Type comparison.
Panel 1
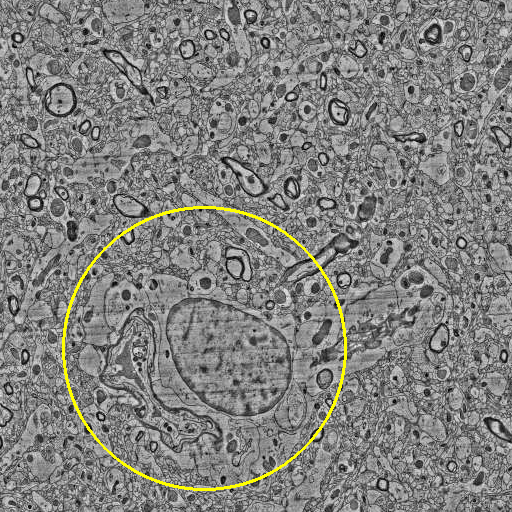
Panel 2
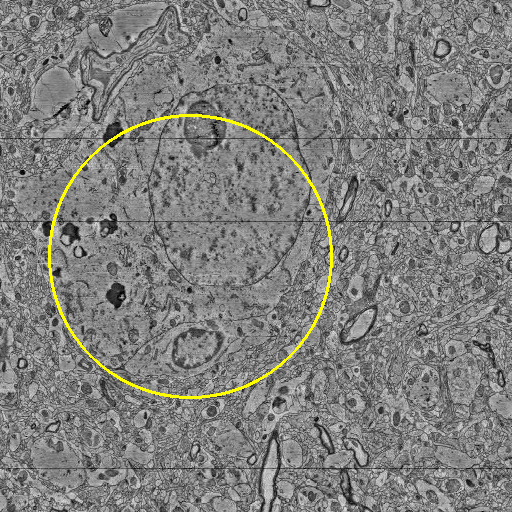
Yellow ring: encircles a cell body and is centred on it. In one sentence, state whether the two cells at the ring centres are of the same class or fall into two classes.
In these panels, the two cells at the ring centres fall into two classes.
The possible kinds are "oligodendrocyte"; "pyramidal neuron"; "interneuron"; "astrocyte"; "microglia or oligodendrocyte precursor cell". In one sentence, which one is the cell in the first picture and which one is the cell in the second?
The cell ringed in the second picture is a pyramidal neuron, whereas the one ringed in the first is a microglial cell or oligodendrocyte precursor cell.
